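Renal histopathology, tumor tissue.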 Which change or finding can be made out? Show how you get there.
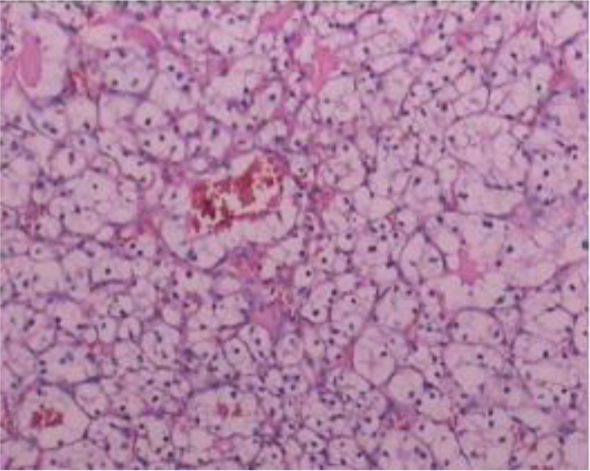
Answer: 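Cells have large pale, nearly clear cytoplasm. Cell borders are sharp and form a net-like pattern. Nuclei are small and round relative to cell size. That points to this answer: abundant and transparent cytoplasm.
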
